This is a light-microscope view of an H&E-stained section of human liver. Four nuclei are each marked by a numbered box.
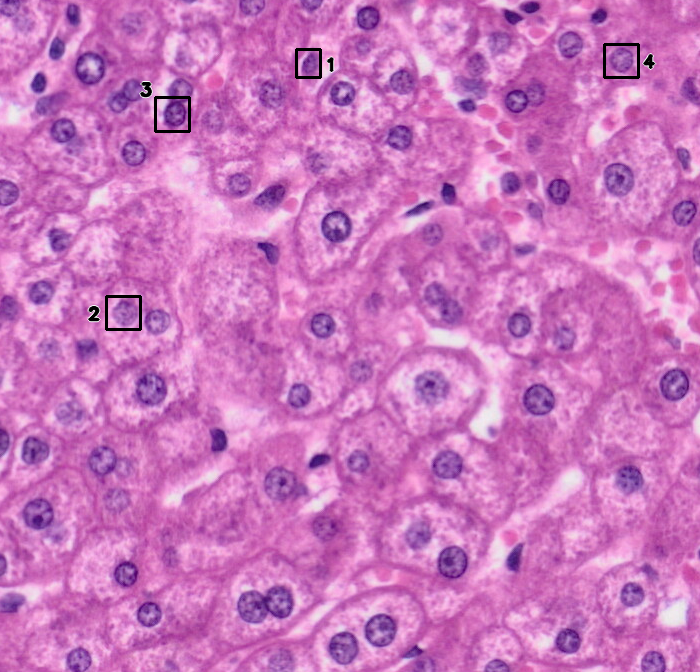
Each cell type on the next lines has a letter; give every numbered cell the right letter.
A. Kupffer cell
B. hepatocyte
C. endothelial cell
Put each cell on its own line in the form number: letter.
1: A
2: B
3: B
4: B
